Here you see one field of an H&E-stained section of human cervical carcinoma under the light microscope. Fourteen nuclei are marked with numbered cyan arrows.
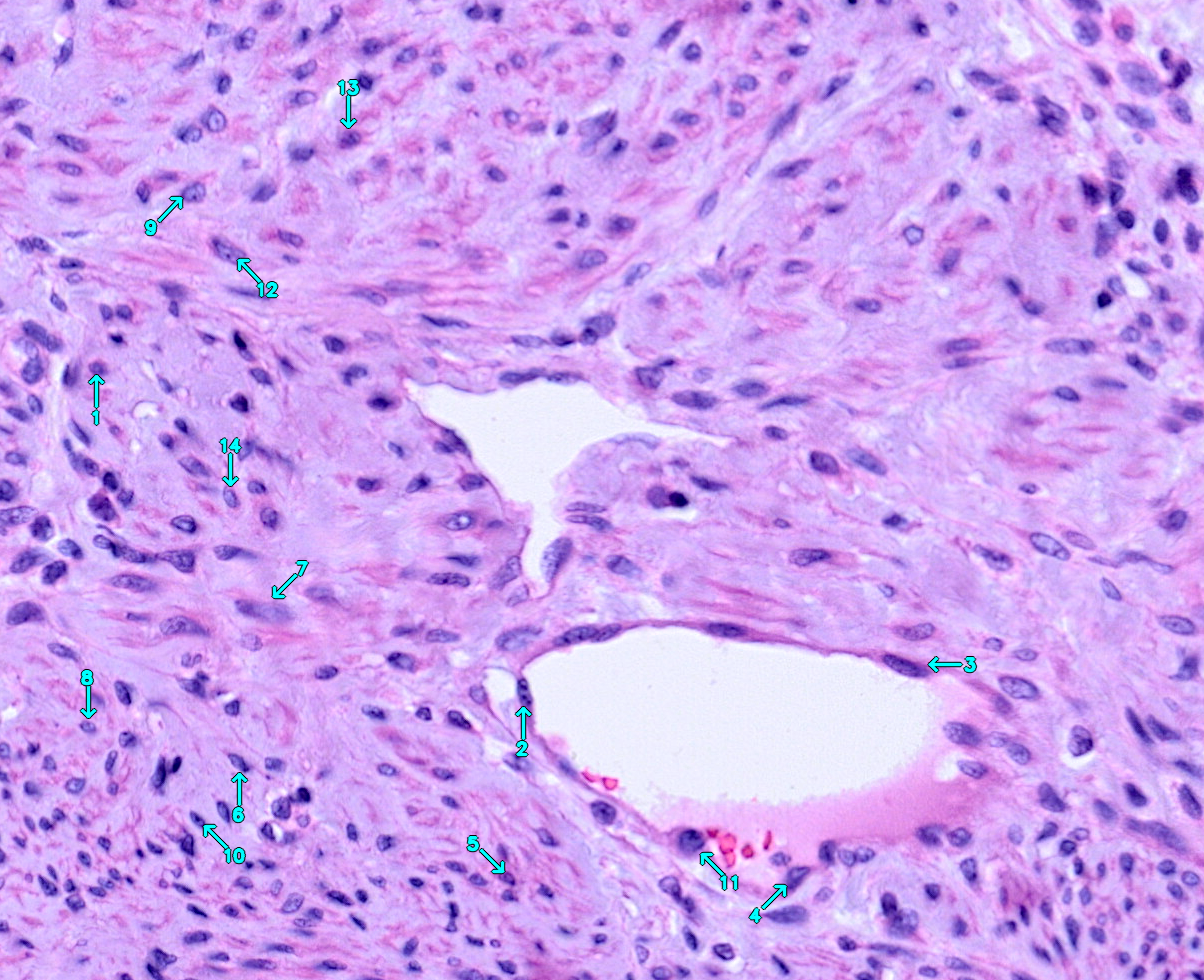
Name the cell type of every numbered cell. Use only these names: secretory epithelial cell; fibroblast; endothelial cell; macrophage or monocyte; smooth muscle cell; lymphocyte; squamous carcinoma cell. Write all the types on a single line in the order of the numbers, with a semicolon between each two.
smooth muscle cell; endothelial cell; endothelial cell; endothelial cell; smooth muscle cell; fibroblast; smooth muscle cell; smooth muscle cell; smooth muscle cell; fibroblast; endothelial cell; smooth muscle cell; smooth muscle cell; smooth muscle cell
